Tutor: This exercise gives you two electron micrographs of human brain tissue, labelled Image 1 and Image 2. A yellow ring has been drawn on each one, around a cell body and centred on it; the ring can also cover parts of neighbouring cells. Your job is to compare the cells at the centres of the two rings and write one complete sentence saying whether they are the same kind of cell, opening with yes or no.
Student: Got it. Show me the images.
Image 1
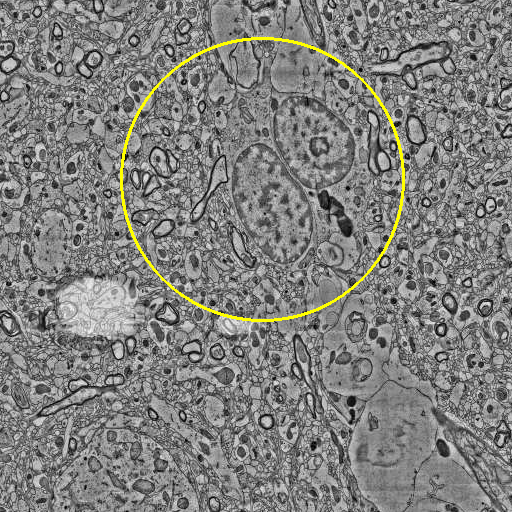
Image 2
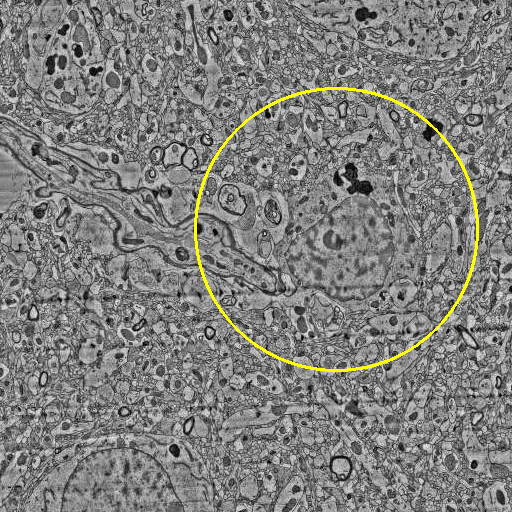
Yes, the two cells belong to the same kind.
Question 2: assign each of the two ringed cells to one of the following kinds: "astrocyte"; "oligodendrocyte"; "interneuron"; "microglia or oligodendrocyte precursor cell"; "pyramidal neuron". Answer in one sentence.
The cell at the ring centre is an oligodendrocyte in both pictures.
